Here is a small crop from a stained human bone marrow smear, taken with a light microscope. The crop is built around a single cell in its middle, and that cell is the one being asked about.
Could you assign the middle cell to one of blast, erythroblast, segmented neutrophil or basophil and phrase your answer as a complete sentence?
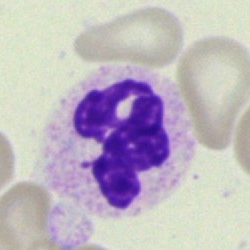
By classification, the middle cell of this crop is a segmented neutrophil.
